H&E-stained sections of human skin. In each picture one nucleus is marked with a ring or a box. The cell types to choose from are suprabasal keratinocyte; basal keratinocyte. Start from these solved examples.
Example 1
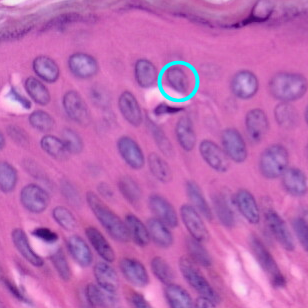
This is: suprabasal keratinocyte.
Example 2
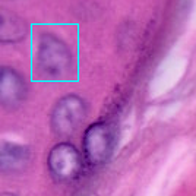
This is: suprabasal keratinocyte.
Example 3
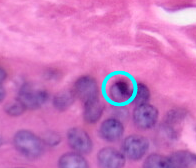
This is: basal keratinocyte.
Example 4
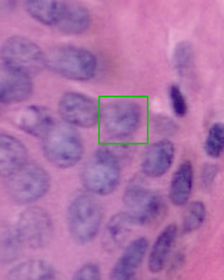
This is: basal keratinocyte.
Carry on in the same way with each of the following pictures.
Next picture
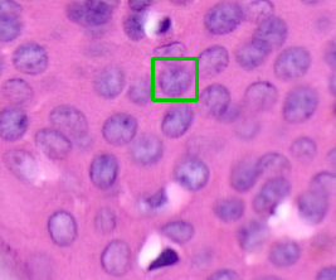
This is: suprabasal keratinocyte.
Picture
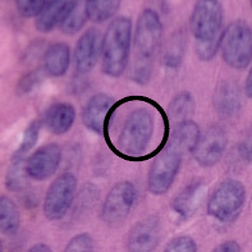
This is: suprabasal keratinocyte.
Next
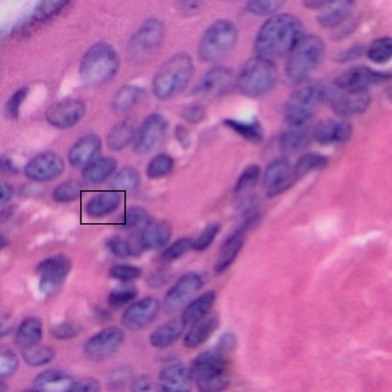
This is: basal keratinocyte.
